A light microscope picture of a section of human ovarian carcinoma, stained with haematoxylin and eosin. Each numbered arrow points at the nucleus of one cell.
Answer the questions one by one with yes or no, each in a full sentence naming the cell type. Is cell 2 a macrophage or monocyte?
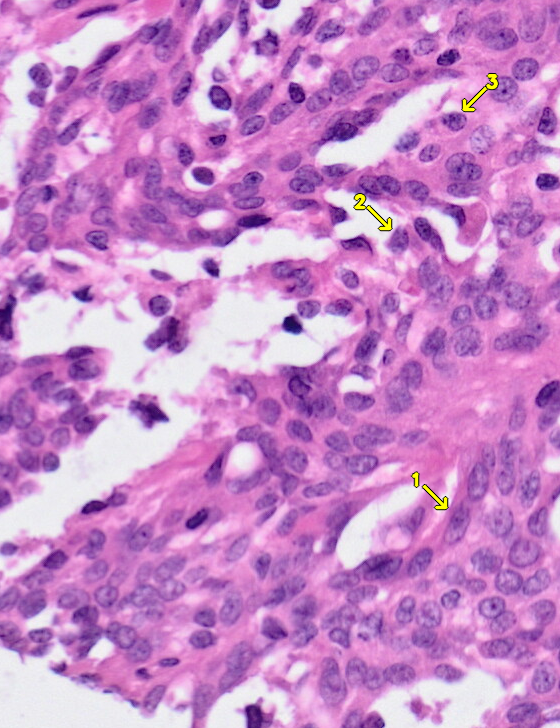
No, cell 2 is not a macrophage or monocyte at all but a carcinoma cell.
